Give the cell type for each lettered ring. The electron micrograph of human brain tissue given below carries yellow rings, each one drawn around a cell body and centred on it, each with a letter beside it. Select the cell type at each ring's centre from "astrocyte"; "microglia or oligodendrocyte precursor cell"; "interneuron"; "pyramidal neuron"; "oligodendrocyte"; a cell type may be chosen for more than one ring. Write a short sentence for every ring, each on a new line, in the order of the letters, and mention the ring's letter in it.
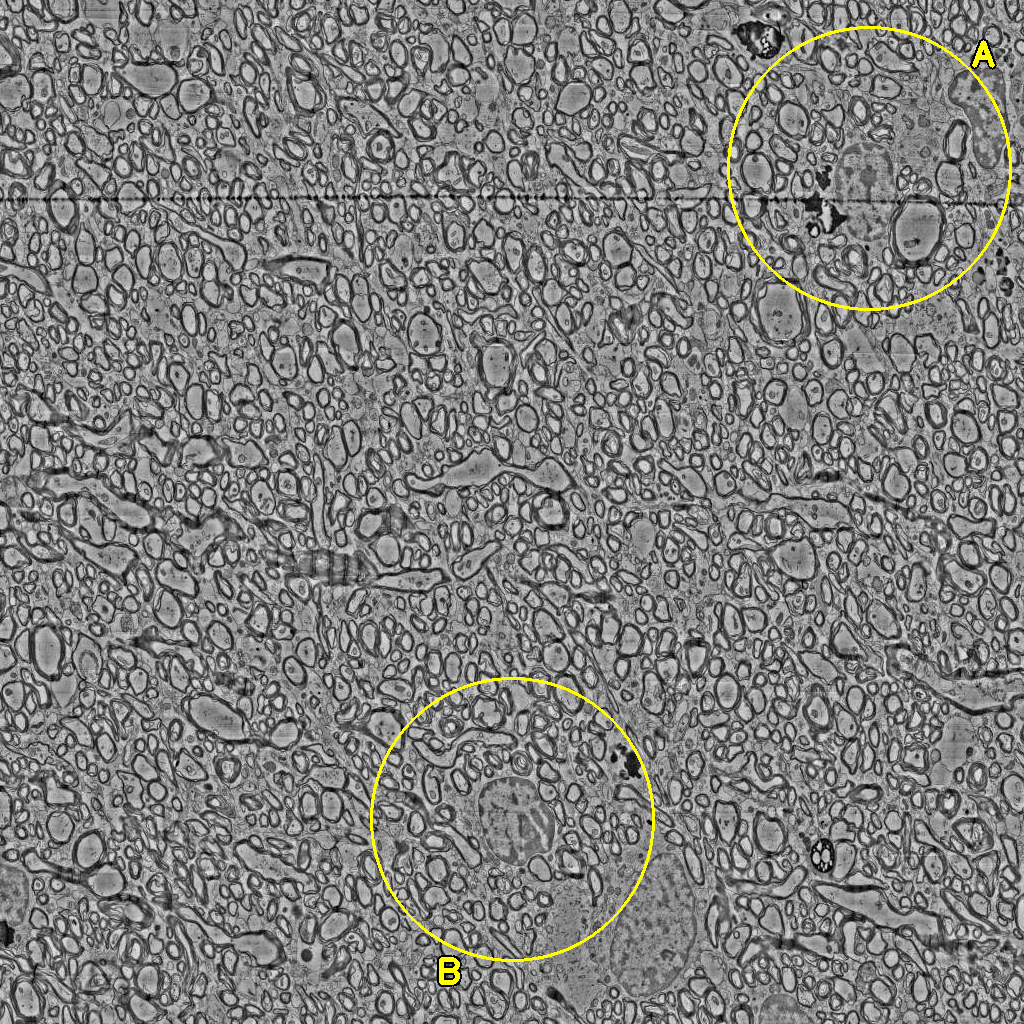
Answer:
The cell type for ring A is an oligodendrocyte.
The cell type for ring B is a microglial cell or oligodendrocyte precursor cell.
